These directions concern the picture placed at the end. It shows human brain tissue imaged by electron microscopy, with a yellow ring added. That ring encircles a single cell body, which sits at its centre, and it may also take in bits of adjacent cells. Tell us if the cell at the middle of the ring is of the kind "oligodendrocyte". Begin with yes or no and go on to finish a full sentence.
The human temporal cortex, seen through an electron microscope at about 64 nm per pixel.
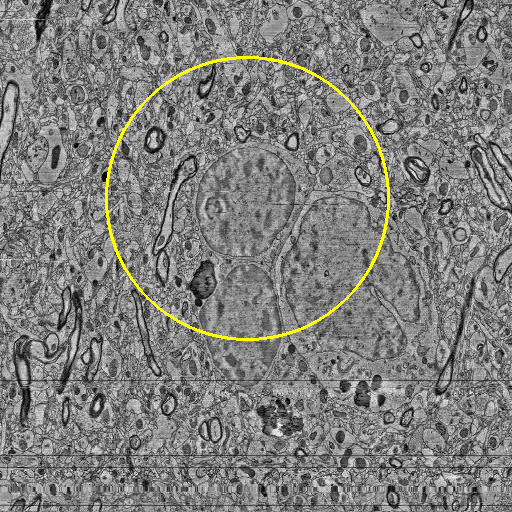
Yes, the cell sitting at the centre of the yellow ring in the picture is of that kind.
